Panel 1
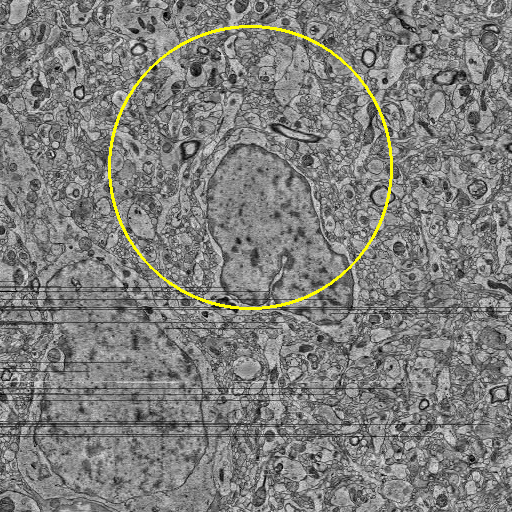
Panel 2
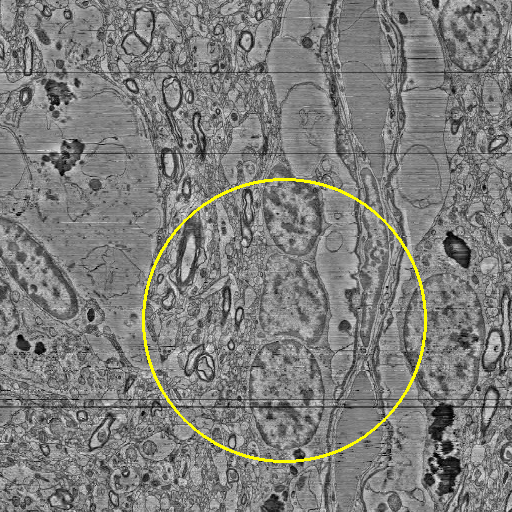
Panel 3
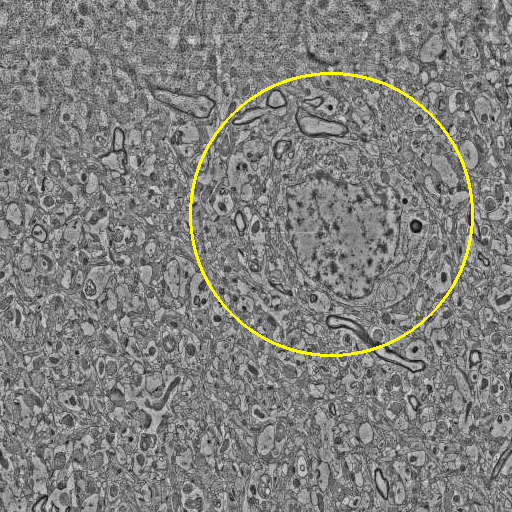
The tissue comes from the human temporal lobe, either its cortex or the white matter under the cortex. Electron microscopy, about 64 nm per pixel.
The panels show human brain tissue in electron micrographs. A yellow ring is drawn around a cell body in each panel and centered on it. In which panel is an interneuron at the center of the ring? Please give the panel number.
3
